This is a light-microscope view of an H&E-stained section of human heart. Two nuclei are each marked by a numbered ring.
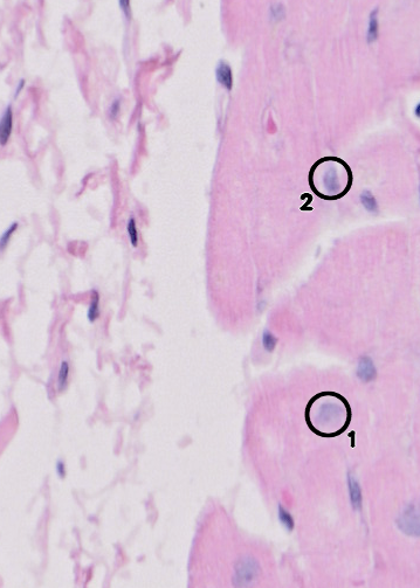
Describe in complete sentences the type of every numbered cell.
Cell 1 is a cardiomyocyte and cell 2 is a fibroblast.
